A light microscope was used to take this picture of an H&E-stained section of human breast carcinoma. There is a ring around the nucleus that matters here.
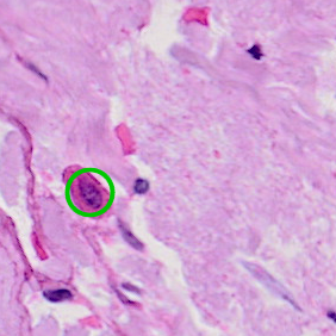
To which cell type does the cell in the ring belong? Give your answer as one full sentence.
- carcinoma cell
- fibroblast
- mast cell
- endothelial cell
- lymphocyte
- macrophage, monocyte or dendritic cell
The identity of the cell in the ring: it is a mast cell.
